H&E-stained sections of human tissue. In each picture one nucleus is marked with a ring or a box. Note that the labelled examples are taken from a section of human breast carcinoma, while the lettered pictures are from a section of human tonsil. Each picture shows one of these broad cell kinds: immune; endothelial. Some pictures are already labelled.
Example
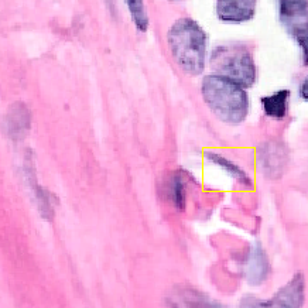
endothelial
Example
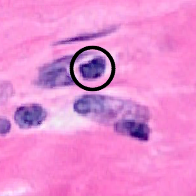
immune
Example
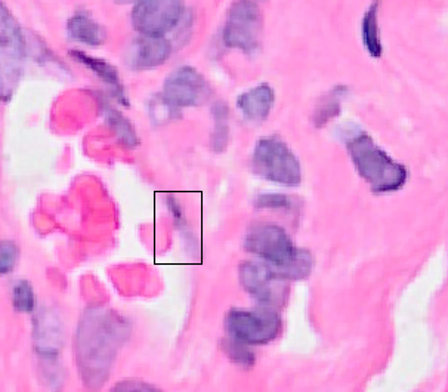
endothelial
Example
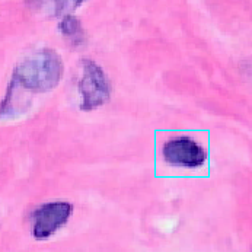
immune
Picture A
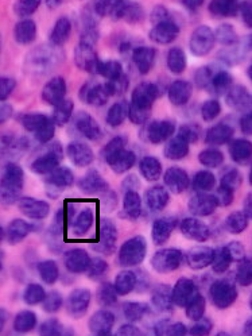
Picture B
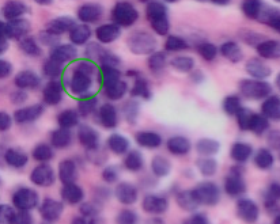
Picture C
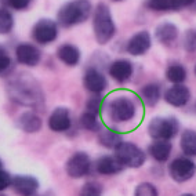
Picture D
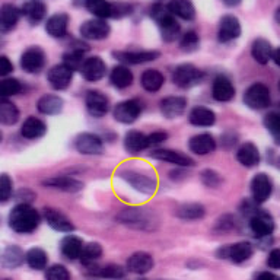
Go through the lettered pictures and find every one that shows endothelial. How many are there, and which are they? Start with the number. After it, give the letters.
1, namely D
